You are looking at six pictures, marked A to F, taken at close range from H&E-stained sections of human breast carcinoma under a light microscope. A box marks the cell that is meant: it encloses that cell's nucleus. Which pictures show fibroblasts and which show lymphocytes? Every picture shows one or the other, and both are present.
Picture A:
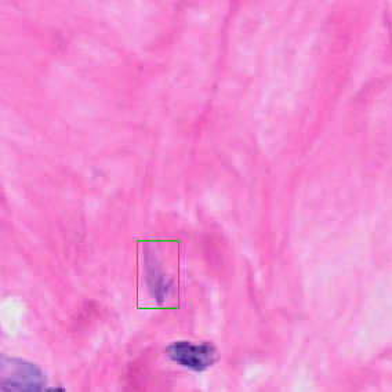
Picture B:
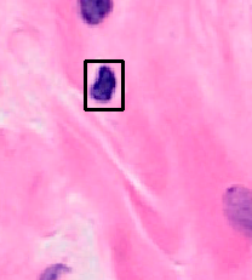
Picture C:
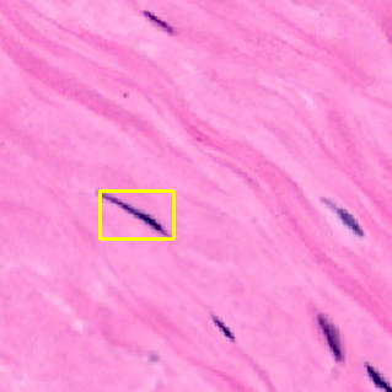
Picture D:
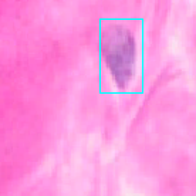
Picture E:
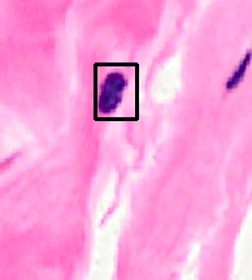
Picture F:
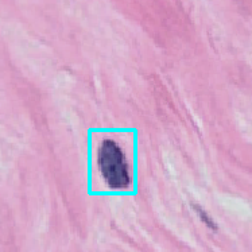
A: fibroblast
B: lymphocyte
C: fibroblast
D: fibroblast
E: lymphocyte
F: lymphocyte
